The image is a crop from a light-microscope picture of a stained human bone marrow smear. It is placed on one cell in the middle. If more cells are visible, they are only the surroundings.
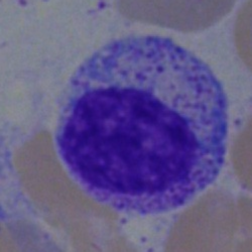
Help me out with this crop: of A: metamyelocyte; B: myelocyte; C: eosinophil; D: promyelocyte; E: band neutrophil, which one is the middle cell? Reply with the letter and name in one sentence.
The cell in the middle is a myelocyte, so option B is correct.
